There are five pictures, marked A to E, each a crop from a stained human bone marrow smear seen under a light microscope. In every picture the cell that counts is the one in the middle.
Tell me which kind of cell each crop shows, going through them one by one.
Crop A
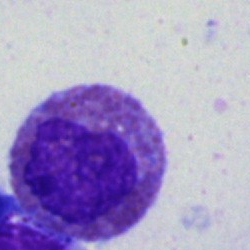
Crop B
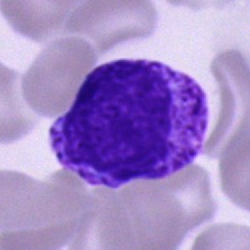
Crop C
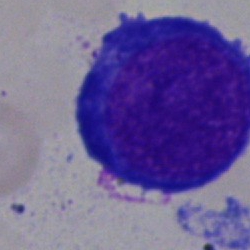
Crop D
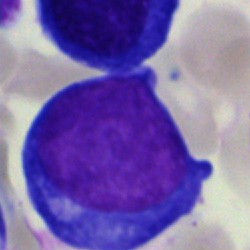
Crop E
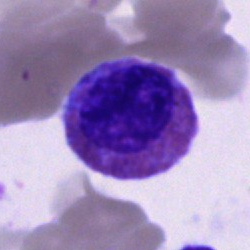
A: eosinophil
B: basophil
C: proerythroblast
D: proerythroblast
E: eosinophil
